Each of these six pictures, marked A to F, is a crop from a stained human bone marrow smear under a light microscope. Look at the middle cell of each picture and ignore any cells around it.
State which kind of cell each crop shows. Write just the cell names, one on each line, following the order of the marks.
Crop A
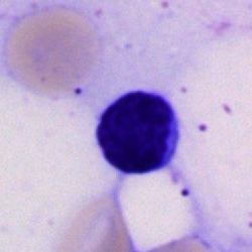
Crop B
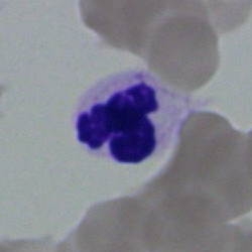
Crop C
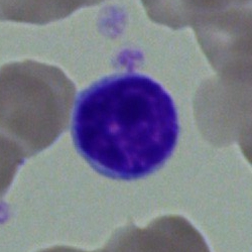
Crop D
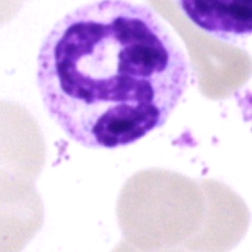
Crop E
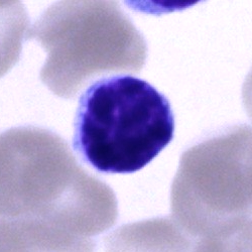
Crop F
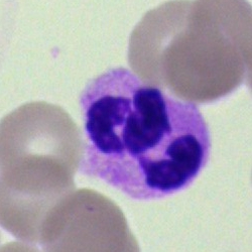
lymphocyte
segmented neutrophil
lymphocyte
segmented neutrophil
lymphocyte
segmented neutrophil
